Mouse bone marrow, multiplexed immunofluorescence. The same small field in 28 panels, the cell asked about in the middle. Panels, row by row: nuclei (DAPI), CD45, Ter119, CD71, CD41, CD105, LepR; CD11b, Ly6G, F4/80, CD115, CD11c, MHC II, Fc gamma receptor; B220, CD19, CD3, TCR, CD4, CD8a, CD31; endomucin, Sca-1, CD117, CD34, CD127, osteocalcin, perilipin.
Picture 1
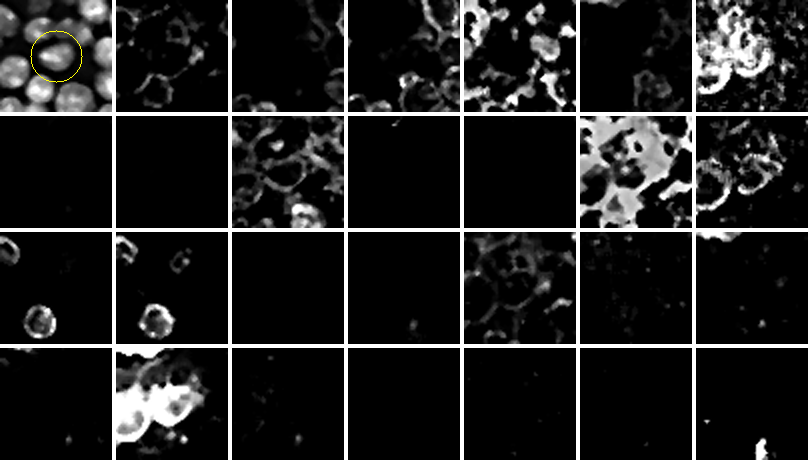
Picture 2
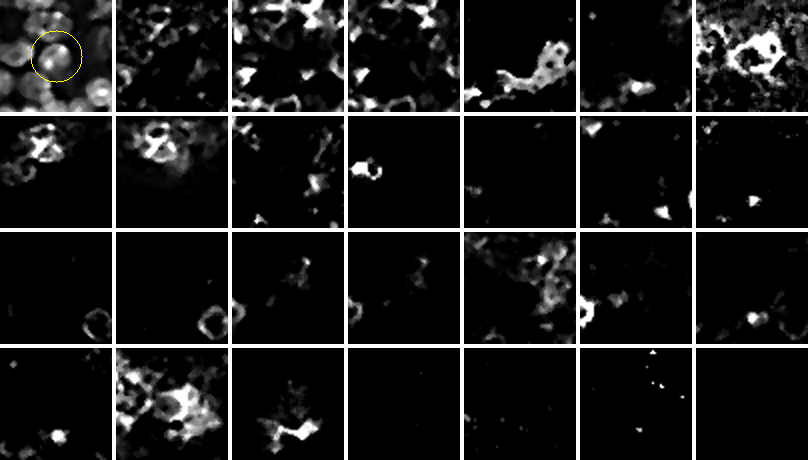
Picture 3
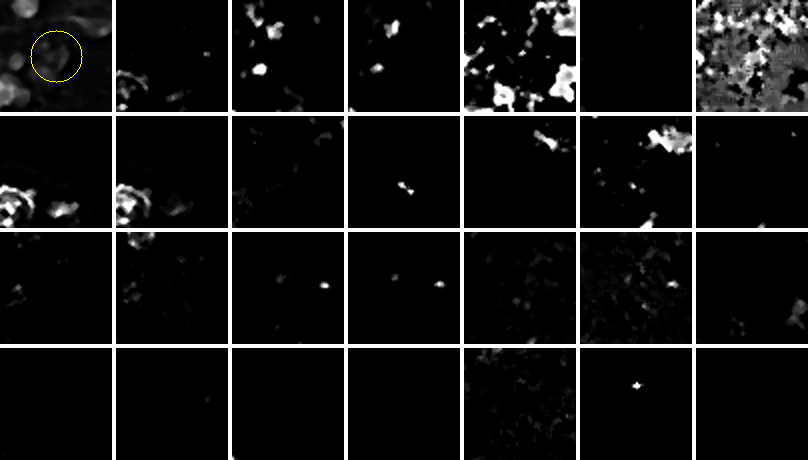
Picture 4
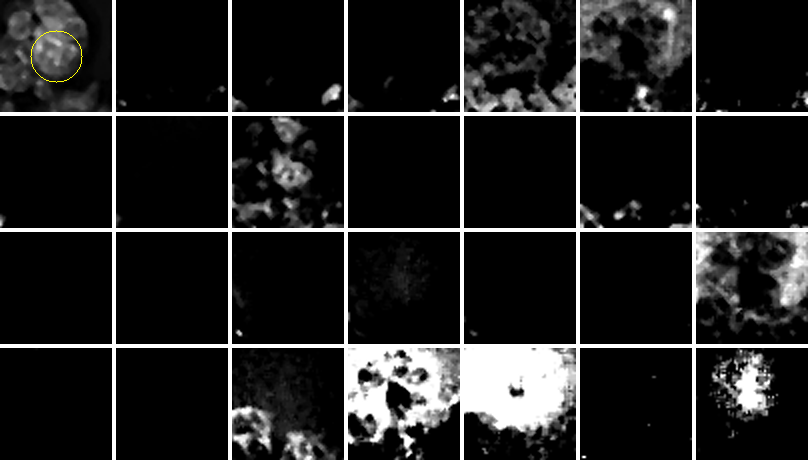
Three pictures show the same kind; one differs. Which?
Picture 4: a common lymphoid progenitor, while the others are LepR-positive perivascular cells.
